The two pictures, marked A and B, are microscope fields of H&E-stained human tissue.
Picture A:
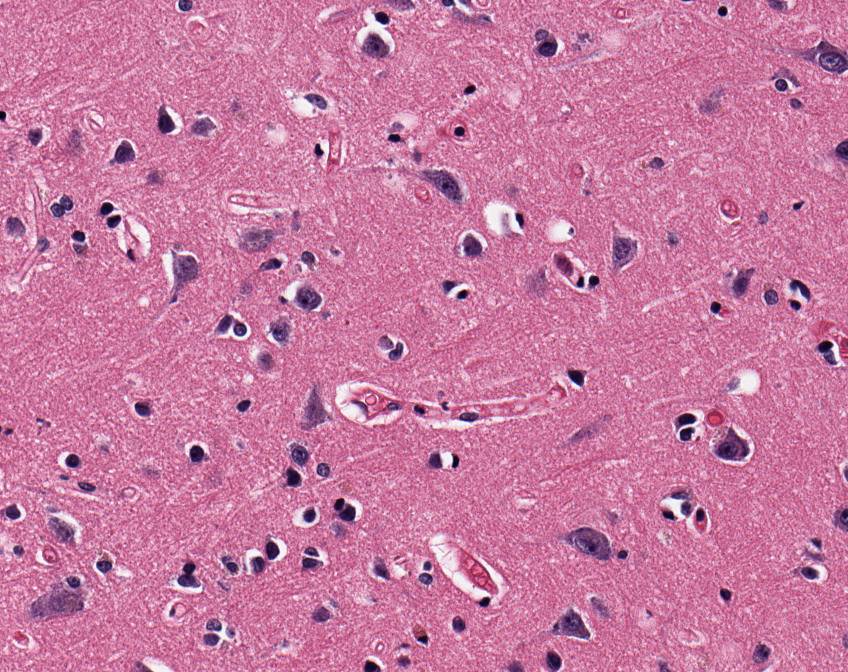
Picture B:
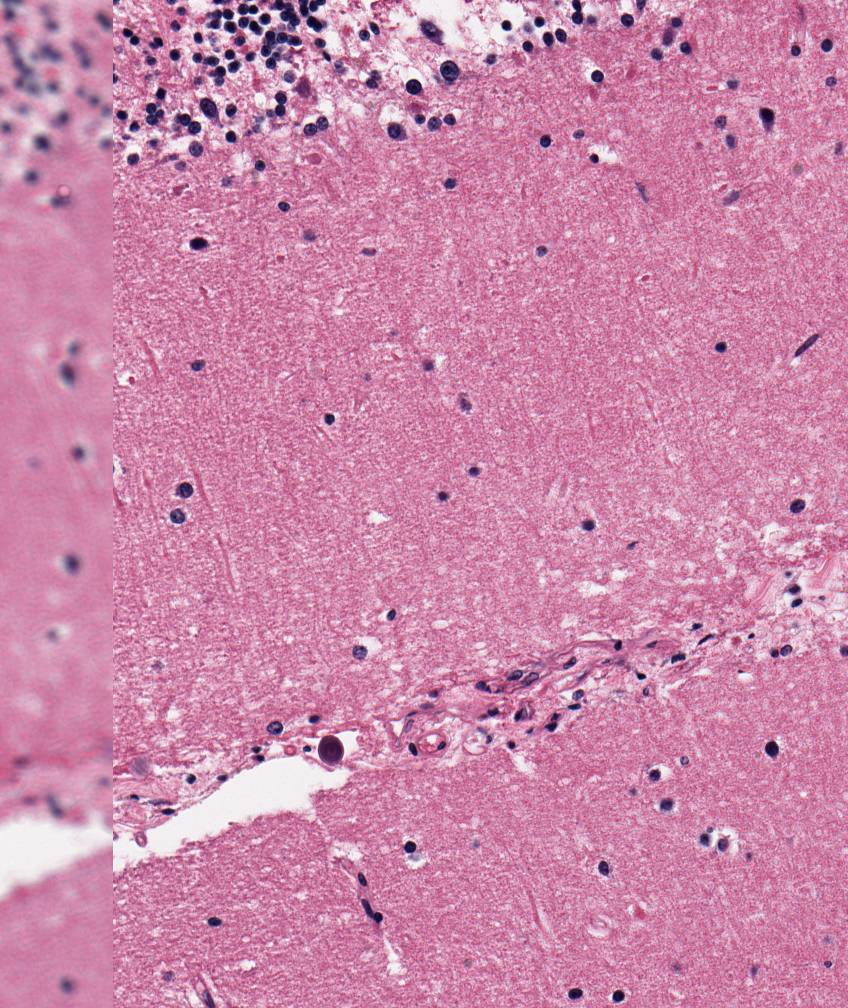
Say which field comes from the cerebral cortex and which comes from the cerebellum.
A: cerebral cortex
B: cerebellum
